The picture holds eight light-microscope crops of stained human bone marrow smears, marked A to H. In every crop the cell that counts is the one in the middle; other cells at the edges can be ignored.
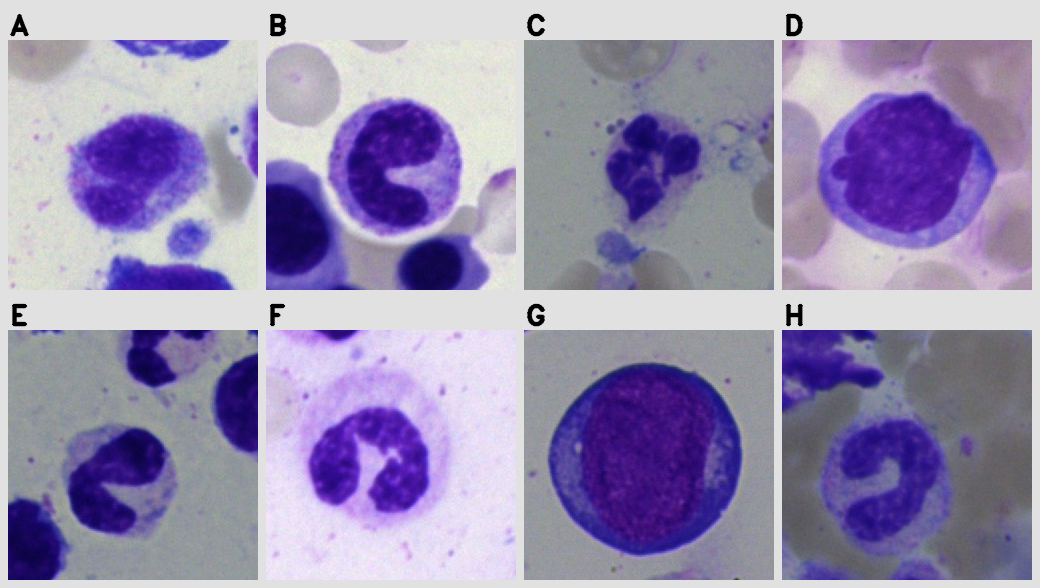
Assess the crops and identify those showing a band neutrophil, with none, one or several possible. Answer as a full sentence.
For crops B, E and H, the central cells are band neutrophils.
